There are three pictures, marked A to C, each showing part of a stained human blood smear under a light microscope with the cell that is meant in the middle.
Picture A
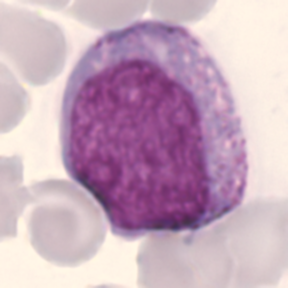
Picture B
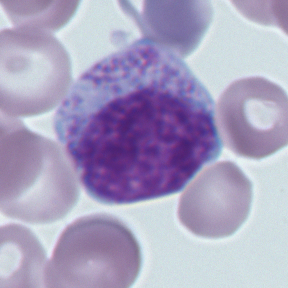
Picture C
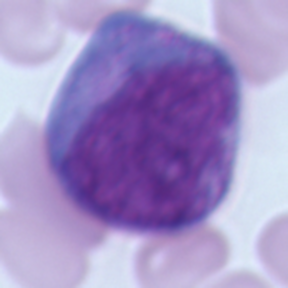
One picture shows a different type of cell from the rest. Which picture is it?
B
